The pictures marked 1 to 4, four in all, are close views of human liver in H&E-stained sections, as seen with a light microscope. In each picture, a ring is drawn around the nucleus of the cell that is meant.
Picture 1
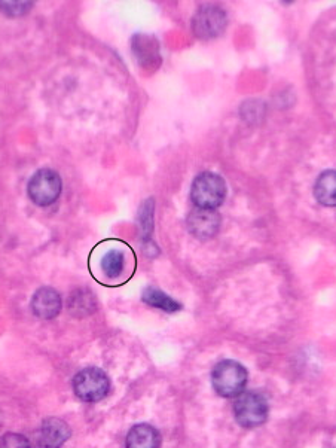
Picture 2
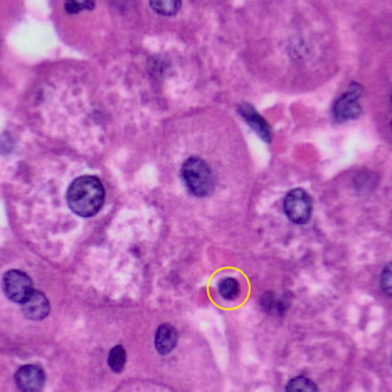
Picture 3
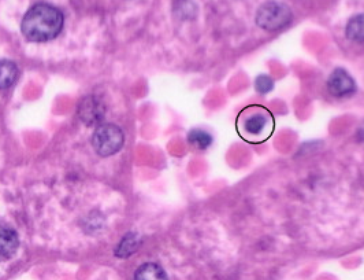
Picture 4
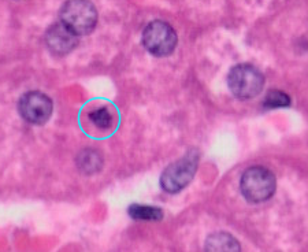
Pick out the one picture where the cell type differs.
4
